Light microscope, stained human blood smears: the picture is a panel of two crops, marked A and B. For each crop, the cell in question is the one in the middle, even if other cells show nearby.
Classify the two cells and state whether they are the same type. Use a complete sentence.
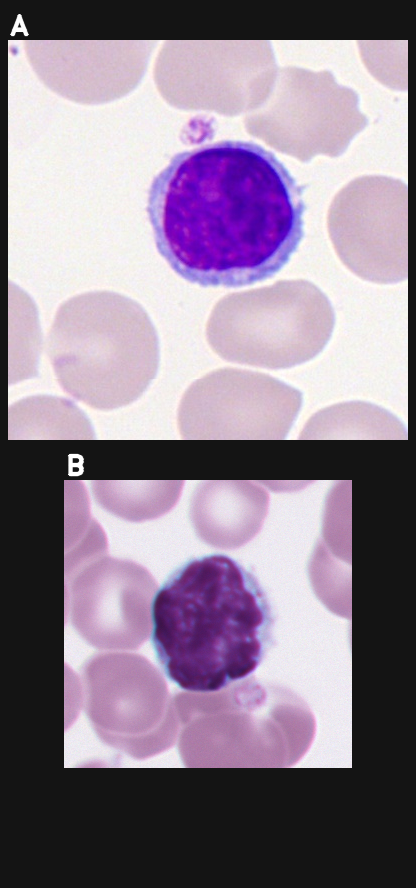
Yes, in both crops the centred cells are lymphocytes.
